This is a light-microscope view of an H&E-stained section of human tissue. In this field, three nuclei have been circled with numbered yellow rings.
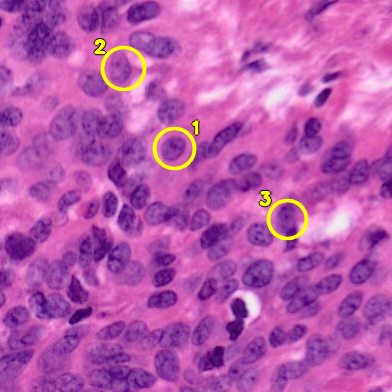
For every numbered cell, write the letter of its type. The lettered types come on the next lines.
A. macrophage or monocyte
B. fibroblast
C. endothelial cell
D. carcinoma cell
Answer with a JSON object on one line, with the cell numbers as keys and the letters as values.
{"1": "D", "2": "D", "3": "A"}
